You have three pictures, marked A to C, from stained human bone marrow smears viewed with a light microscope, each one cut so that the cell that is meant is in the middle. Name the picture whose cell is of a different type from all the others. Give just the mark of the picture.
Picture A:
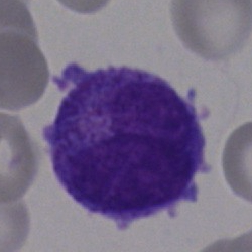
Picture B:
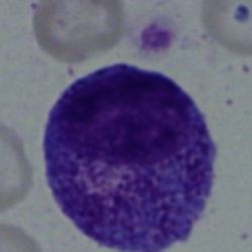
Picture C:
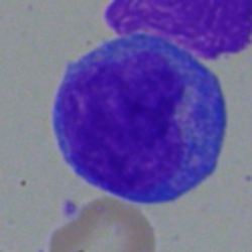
B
